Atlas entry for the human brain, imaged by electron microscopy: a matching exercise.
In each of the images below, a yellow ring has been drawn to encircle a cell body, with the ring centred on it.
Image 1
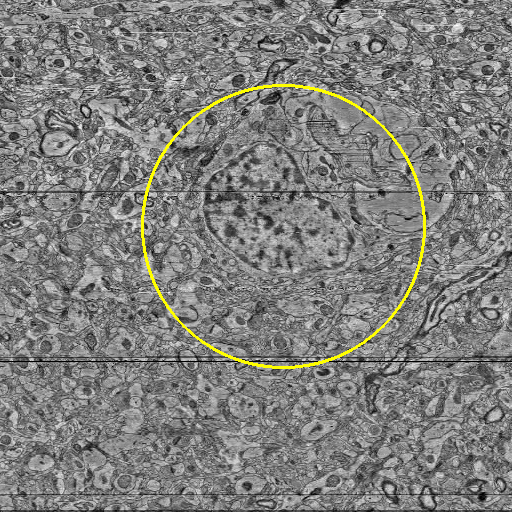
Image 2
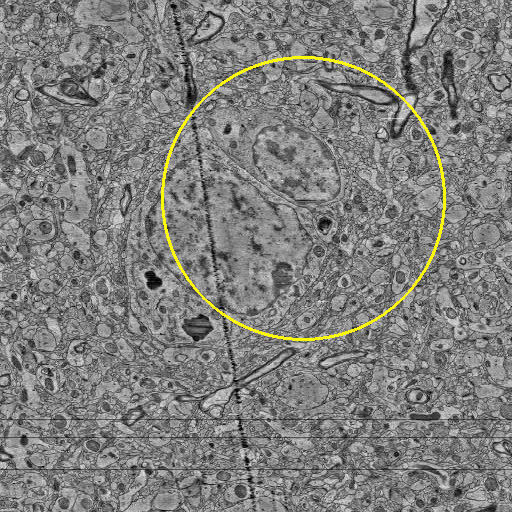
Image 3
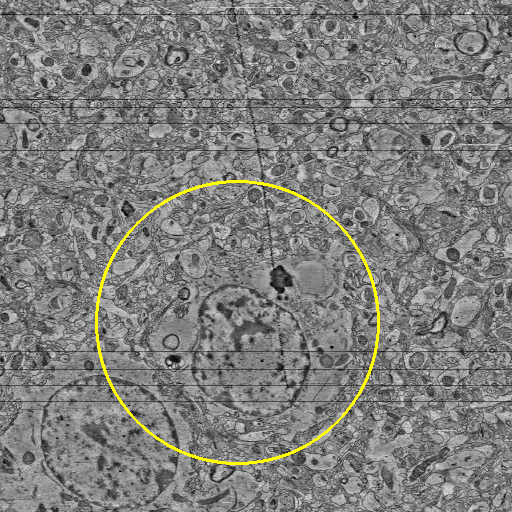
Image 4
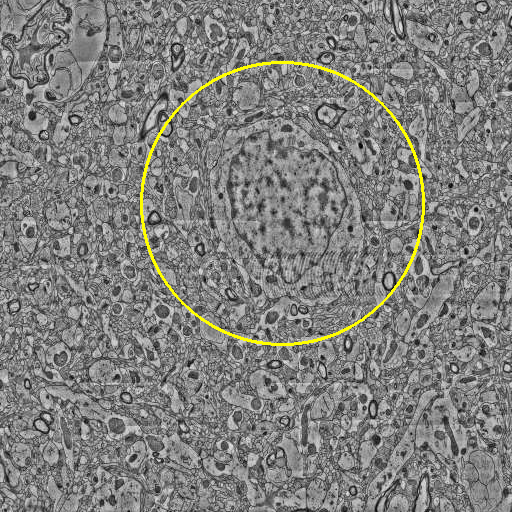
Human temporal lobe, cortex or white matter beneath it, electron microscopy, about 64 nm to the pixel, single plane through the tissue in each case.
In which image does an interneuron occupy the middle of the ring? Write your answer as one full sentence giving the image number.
In image 4, the ring is centred on the cell in question.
